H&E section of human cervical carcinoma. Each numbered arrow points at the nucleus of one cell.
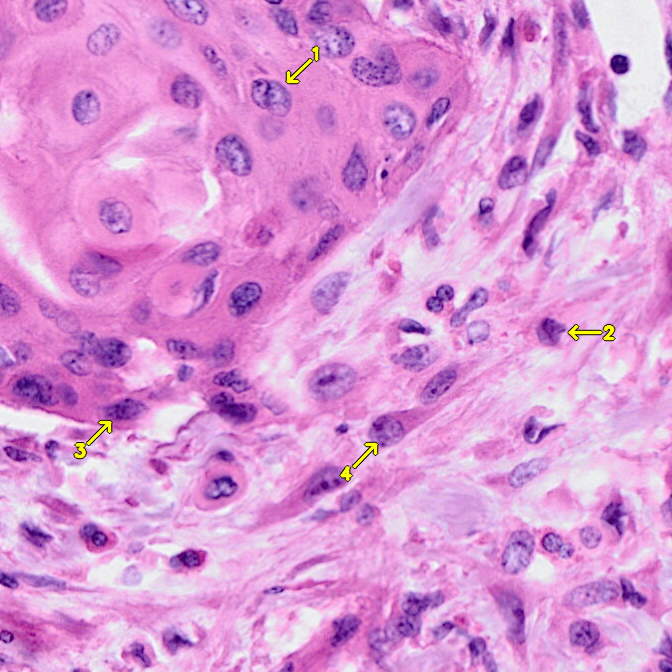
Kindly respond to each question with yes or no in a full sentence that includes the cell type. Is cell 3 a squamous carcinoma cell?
Yes, among the marked cells, the one with number 3 is a squamous carcinoma cell.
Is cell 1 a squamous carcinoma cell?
Yes, the cell marked by the number 1 is a squamous carcinoma cell.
